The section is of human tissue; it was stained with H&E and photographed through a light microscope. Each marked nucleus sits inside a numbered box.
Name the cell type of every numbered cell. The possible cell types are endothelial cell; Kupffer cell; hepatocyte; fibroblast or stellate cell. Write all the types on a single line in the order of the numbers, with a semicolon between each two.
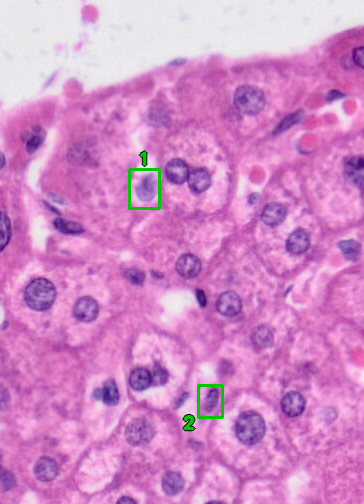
endothelial cell; Kupffer cell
